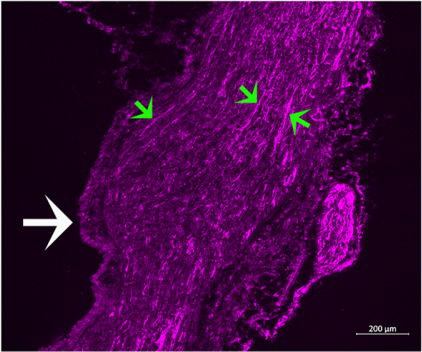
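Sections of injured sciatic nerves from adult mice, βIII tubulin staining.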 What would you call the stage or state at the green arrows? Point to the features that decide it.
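The green arrows point at long, continuous, thin stained fibres. The fibres run in parallel wavy bundles without breaks.
Hence: intact.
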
